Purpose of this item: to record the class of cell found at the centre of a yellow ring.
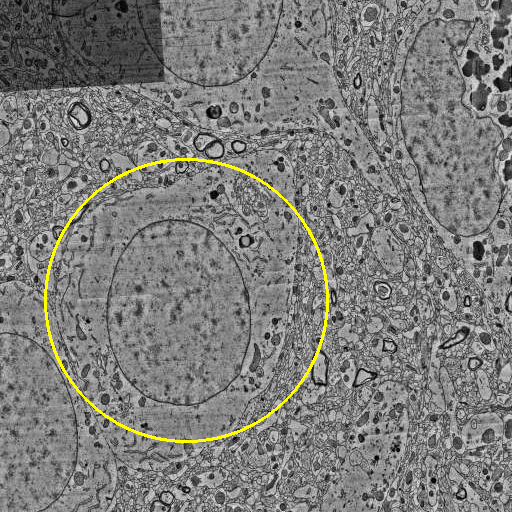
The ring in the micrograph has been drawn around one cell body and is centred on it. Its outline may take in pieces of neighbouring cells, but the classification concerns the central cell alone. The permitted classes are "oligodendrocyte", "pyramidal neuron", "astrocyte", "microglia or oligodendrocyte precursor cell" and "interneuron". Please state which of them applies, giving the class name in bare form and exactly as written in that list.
pyramidal neuron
